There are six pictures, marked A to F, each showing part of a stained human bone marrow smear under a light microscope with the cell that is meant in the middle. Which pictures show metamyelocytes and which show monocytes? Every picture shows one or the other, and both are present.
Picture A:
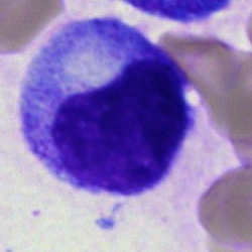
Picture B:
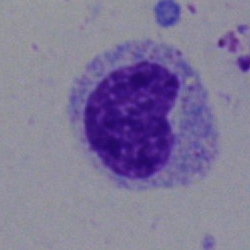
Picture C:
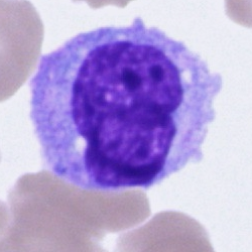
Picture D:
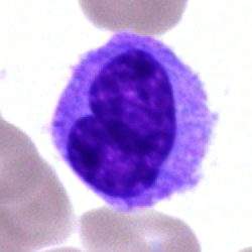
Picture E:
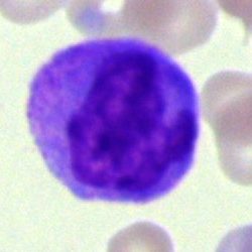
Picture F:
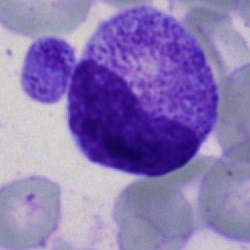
A: metamyelocyte
B: metamyelocyte
C: monocyte
D: monocyte
E: monocyte
F: metamyelocyte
